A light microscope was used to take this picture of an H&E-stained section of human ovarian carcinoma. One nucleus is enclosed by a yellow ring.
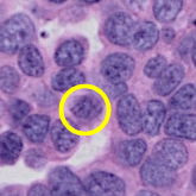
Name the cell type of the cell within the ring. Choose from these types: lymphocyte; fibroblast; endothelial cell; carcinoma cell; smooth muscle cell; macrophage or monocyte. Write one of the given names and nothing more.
carcinoma cell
